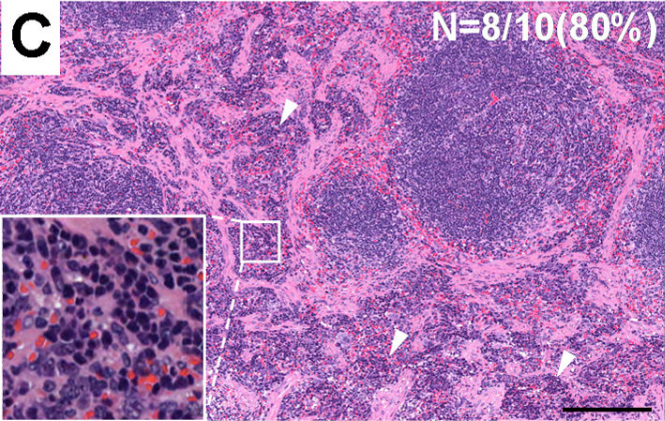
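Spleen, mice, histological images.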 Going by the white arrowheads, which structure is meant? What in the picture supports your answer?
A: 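The arrowheads point to clusters of dark cells between pink fibrous strands outside the round follicles. The inset shows tightly packed round dark nuclei with scattered red erythrocytes.
Hence: foci of erythroblastic islets.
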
